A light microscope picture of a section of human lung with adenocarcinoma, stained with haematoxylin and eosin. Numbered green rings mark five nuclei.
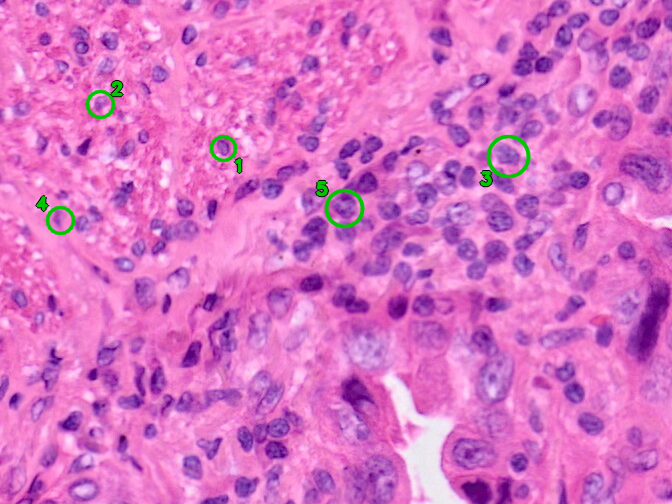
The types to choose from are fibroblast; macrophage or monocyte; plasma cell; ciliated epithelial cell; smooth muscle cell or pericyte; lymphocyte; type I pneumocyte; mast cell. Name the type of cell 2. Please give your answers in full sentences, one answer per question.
The correct label for cell 2 is a smooth muscle cell or pericyte.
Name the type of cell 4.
In this section, the cell tagged 4 is a mast cell.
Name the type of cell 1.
Recognised here as a smooth muscle cell or pericyte is the cell numbered 1.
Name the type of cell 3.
Cell 3 in the field is a lymphocyte.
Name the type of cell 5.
The cell tagged with 5 in this tissue section is a plasma cell.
